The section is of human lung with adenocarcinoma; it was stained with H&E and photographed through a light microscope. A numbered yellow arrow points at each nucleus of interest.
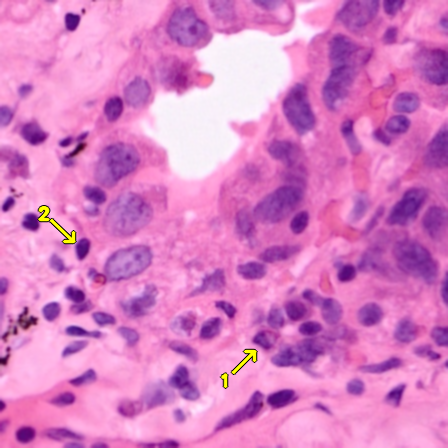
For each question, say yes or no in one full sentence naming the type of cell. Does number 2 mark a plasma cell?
No, the right label for cell 2 is a lymphocyte rather than a plasma cell.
